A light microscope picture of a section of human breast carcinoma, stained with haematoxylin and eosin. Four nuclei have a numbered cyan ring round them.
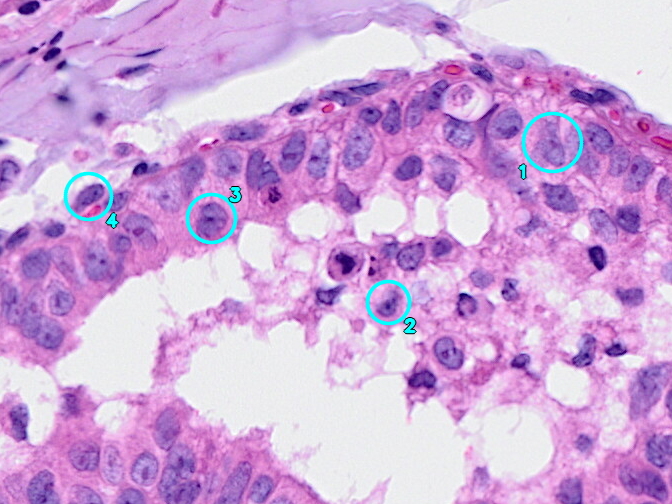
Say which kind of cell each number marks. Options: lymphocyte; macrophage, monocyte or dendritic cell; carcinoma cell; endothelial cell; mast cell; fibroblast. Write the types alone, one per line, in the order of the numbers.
carcinoma cell
macrophage, monocyte or dendritic cell
carcinoma cell
endothelial cell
